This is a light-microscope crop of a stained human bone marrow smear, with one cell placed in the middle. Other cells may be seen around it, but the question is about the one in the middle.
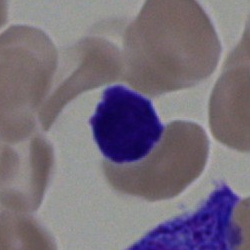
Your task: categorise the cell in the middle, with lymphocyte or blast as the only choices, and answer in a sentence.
The central element of this crop is a cell, namely a lymphocyte.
